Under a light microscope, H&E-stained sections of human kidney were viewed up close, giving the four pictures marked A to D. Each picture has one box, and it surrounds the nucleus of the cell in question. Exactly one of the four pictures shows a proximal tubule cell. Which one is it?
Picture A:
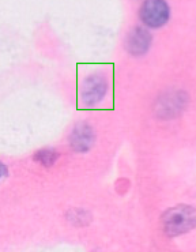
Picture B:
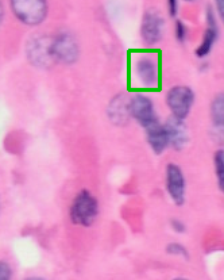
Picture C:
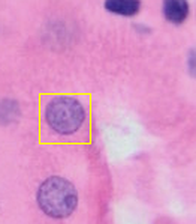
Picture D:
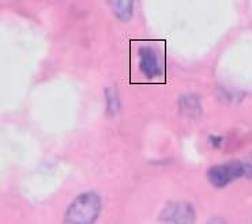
C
